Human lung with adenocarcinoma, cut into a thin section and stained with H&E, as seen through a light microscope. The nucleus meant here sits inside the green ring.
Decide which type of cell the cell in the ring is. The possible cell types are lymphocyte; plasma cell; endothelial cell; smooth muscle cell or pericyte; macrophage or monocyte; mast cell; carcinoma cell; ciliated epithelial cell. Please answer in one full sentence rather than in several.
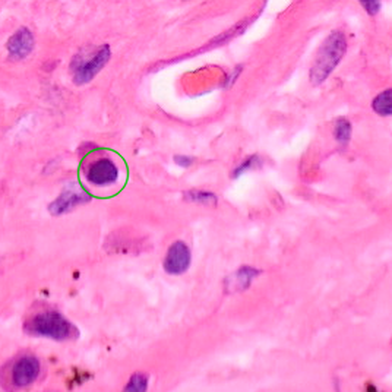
In short, the cell in the ring on this section is a plasma cell.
